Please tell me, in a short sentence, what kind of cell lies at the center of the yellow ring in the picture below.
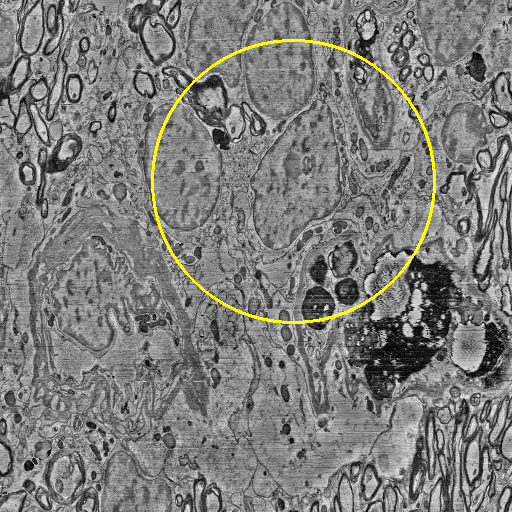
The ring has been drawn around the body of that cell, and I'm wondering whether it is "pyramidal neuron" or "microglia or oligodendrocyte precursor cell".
The cell at the center of the ring is a microglial cell or oligodendrocyte precursor cell.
